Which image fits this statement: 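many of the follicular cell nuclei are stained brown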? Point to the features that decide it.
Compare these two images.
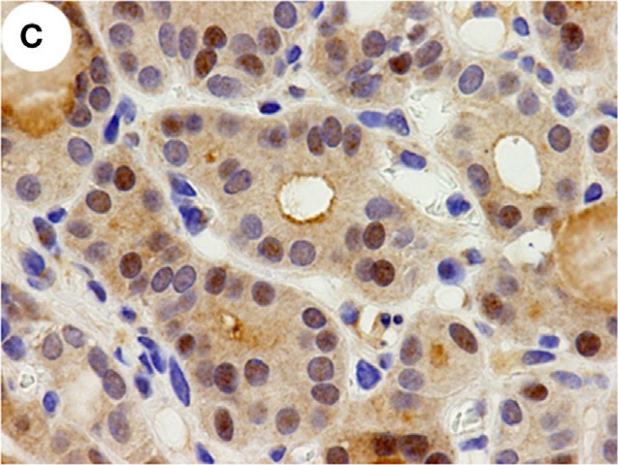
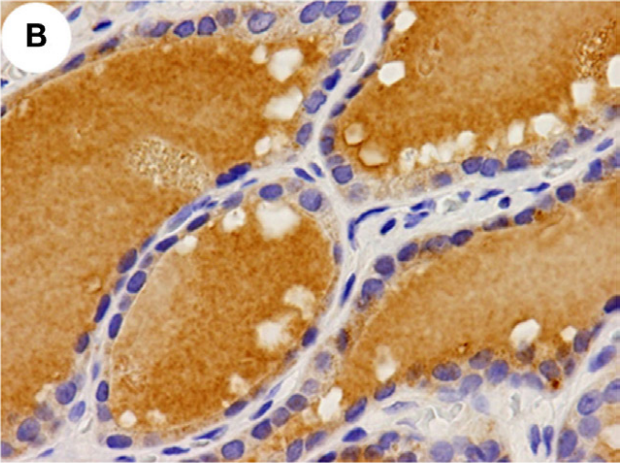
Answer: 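Second image: the follicular cell nuclei are blue, the brown lies in the colloid. First image: many nuclei of the follicular cells are dark brown. So: the first image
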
